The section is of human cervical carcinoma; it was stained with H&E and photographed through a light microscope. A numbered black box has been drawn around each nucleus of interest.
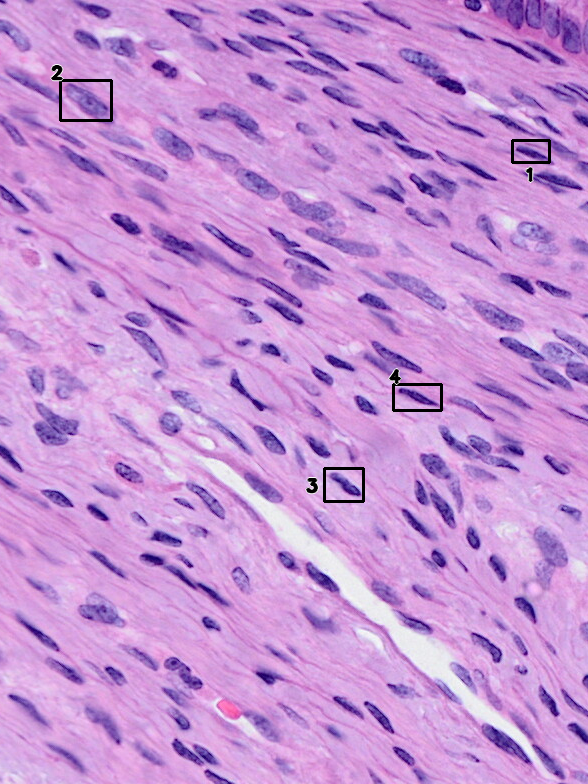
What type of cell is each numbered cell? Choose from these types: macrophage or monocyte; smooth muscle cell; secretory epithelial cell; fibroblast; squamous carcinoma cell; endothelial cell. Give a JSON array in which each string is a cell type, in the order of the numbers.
["fibroblast", "endothelial cell", "fibroblast", "fibroblast"]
